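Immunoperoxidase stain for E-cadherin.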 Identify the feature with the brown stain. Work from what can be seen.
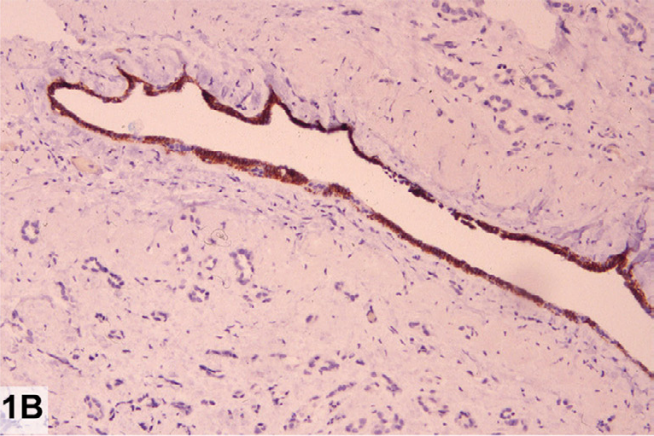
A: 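The small glands in the surrounding stroma stay unstained blue. That points to this answer: Normal duct.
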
